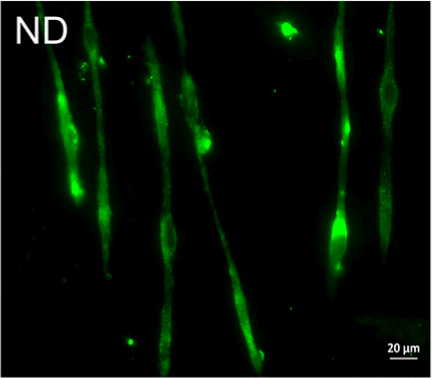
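These are cultured myotubes in green fluorescence, lying apart from one another on a dark background as thin, spindle-shaped tubes with tapering ends. Along their length lie bright, swollen spots of green, and most of each tube is narrow with sparse cytoplasm.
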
